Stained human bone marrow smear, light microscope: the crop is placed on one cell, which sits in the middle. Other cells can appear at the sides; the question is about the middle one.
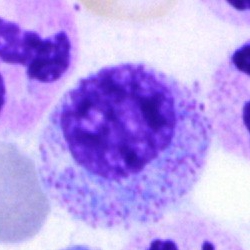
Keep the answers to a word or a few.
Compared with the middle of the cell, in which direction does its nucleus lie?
top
